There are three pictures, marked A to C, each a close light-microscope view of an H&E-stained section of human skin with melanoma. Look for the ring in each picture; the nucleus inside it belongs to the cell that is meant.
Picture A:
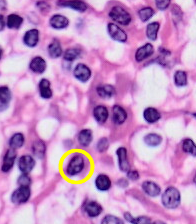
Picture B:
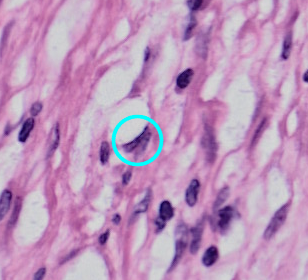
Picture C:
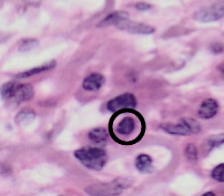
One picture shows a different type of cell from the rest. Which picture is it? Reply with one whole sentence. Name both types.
All pictures except B show plasma cells; picture B shows a “fibroblast or myofibroblast”.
